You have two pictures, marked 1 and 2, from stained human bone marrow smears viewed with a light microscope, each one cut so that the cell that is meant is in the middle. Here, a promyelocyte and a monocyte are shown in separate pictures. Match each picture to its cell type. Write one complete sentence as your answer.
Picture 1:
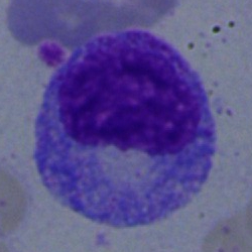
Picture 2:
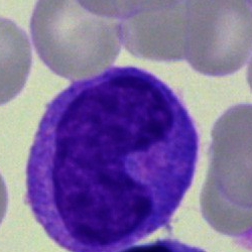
It is picture 1 that shows a promyelocyte, and picture 2 that shows a monocyte.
